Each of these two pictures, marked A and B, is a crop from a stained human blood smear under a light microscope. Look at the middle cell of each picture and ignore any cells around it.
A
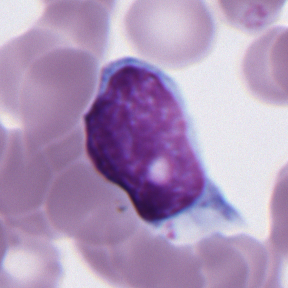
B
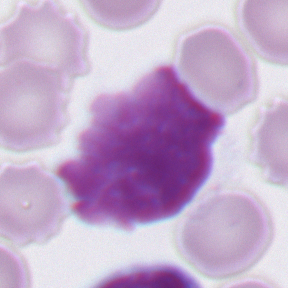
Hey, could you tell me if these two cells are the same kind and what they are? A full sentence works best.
No, crop B holds a smudge cell, while crop A holds a typical lymphocyte.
